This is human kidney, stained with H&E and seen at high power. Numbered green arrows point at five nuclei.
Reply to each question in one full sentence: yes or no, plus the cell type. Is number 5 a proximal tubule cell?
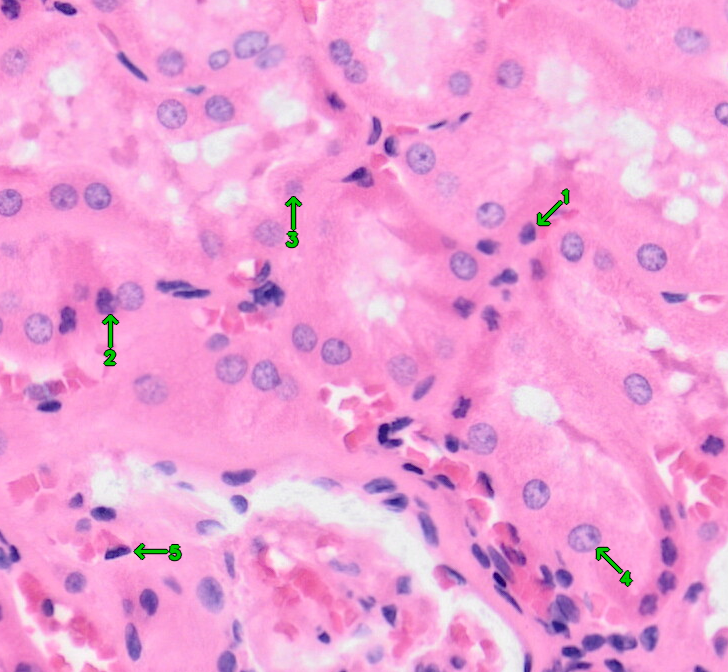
No, calling cell 5 a proximal tubule cell is incorrect; it is an endothelial cell.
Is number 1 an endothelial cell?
Yes, the cell distinguished by number 1 is an endothelial cell.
